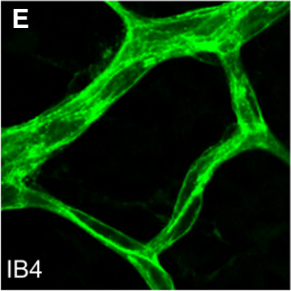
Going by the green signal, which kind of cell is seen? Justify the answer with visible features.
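Endothelial cells. The green tubes have fine longitudinal texture along their walls.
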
